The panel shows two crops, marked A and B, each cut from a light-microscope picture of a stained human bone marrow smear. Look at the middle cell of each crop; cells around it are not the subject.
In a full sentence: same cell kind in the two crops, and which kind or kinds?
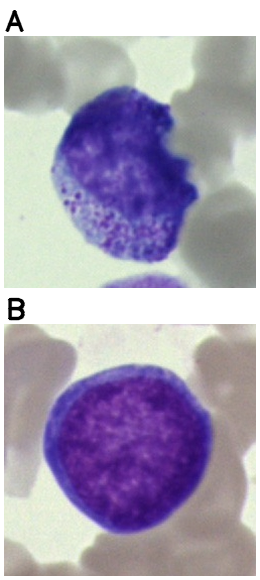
No, sorry, crop A shows a promyelocyte and crop B shows a blast.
